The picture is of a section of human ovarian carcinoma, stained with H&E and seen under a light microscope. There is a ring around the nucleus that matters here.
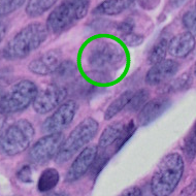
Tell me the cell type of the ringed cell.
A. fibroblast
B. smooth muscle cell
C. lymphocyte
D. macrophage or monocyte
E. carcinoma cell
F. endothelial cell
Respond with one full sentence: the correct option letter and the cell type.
Option E is right in classifying the ringed cell as a carcinoma cell.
